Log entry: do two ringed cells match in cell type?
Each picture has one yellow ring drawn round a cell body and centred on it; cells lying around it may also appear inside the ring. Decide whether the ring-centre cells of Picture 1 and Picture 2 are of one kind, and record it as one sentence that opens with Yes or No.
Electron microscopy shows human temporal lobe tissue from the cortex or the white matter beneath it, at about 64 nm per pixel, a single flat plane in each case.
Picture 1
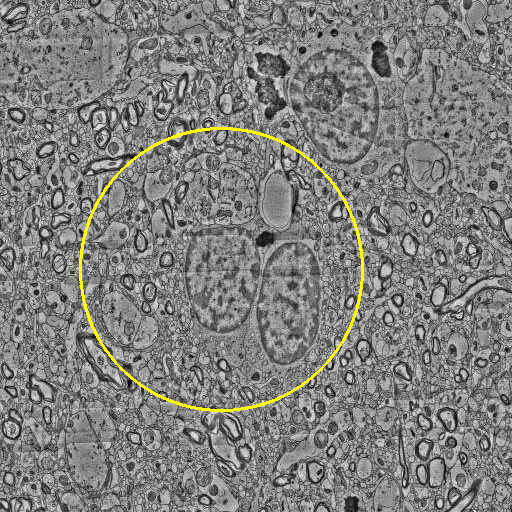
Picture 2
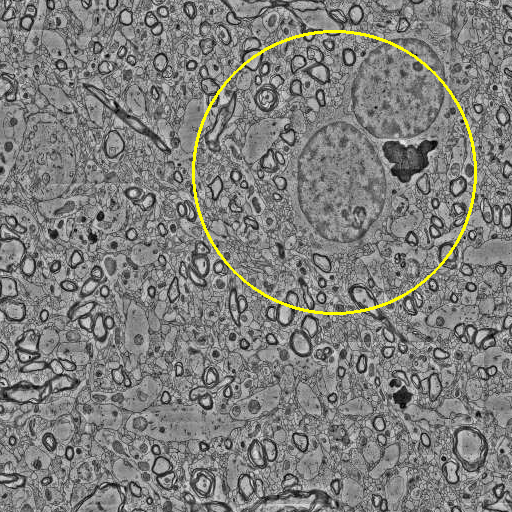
Yes, the cells at the ring centres of the two pictures belong to one kind.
